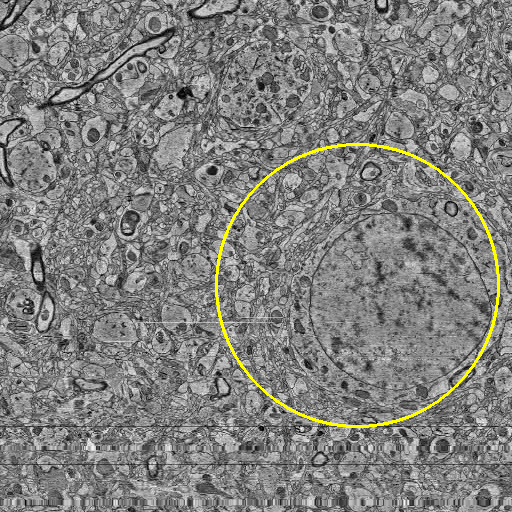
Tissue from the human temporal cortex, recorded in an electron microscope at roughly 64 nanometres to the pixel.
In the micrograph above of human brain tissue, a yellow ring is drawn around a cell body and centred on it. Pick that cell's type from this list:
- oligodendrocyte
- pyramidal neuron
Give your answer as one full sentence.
Going by the list, a pyramidal neuron is the cell on which the yellow ring is centred.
